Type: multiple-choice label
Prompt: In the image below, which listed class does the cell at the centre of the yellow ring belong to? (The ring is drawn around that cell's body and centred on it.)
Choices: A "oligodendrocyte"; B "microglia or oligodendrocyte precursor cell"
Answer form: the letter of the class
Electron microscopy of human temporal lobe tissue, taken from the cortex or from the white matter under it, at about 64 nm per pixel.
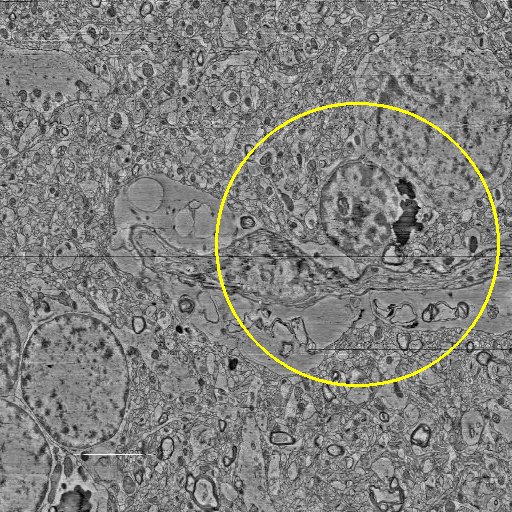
A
